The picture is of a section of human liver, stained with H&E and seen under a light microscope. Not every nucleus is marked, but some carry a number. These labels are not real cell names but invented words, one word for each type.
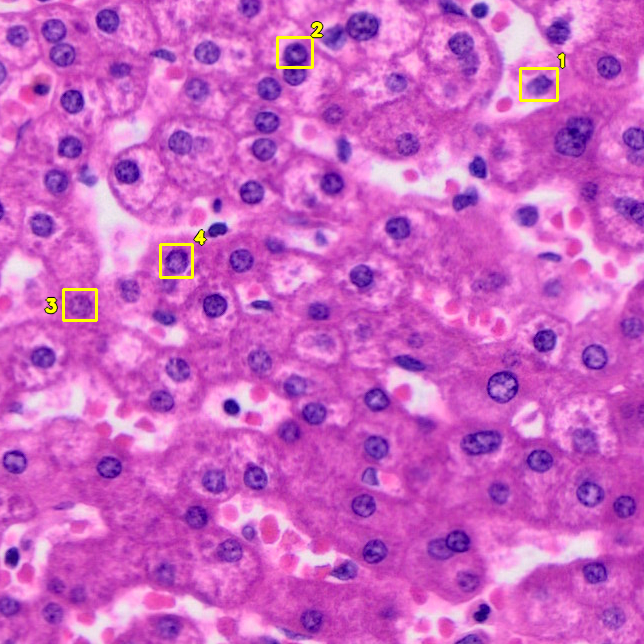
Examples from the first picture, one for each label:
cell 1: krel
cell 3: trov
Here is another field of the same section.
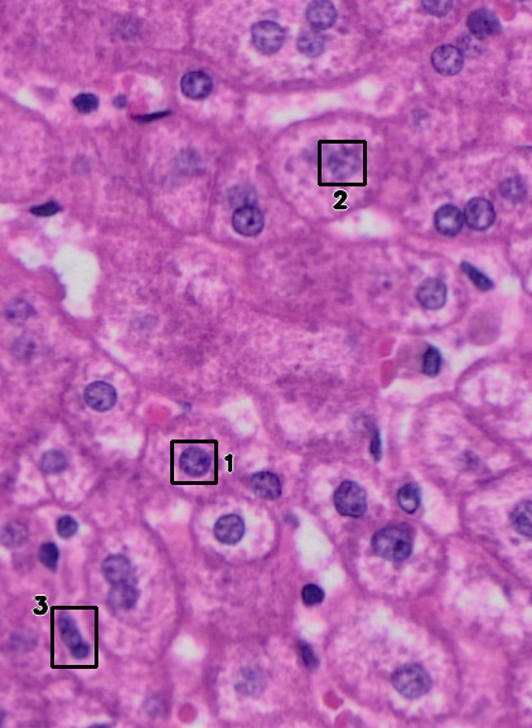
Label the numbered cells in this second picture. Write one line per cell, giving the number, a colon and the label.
1: trov
2: trov
3: krel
